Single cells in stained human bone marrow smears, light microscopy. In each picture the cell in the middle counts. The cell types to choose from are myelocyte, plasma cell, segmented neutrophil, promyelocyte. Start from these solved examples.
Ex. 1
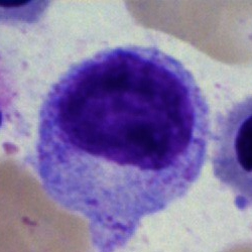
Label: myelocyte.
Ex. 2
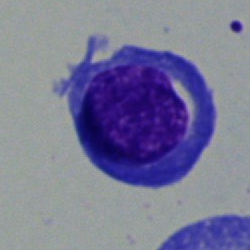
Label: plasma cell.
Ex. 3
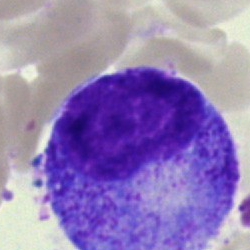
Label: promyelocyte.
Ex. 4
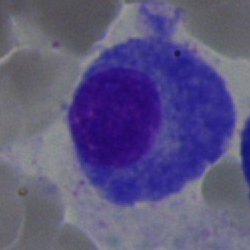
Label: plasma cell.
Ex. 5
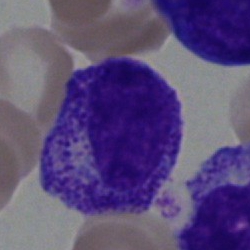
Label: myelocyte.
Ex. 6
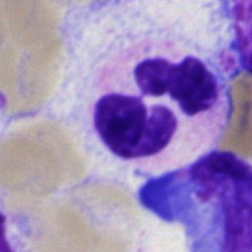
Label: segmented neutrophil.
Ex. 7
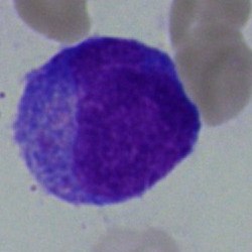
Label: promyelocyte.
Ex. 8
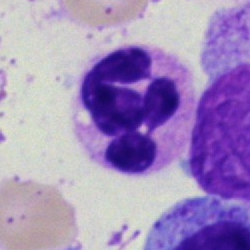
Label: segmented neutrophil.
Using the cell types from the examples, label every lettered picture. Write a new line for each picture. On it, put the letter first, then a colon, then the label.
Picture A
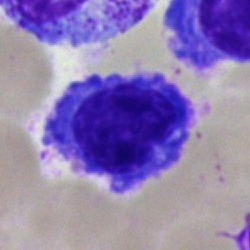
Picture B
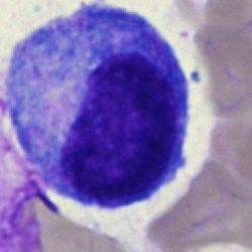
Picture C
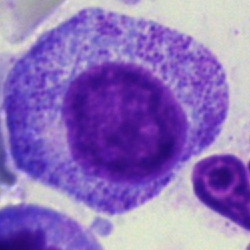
A: plasma cell.
B: promyelocyte.
C: myelocyte.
